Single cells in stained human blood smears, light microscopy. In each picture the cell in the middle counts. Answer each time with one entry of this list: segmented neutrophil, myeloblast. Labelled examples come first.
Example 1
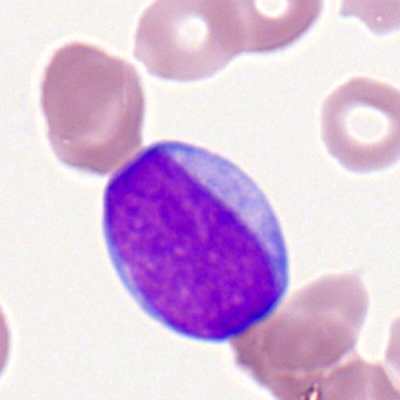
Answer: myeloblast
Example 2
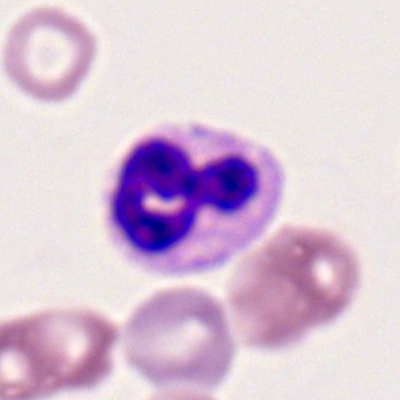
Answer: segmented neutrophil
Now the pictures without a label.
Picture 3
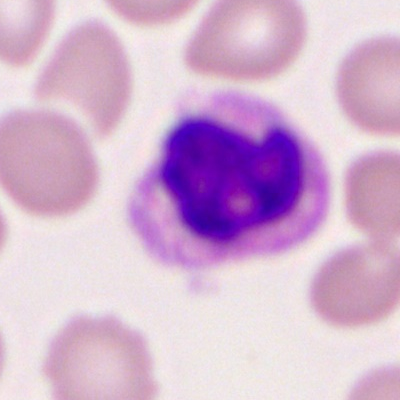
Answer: segmented neutrophil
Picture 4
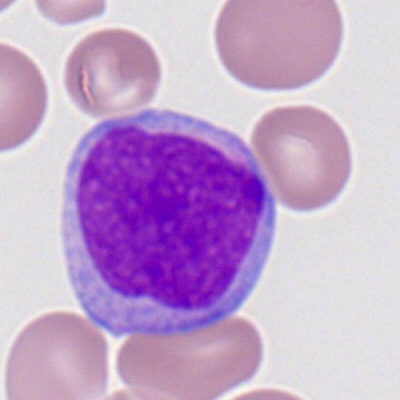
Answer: myeloblast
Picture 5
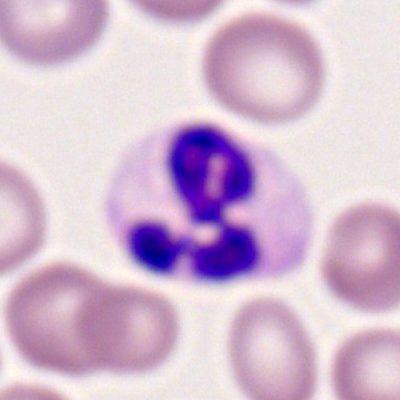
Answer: segmented neutrophil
